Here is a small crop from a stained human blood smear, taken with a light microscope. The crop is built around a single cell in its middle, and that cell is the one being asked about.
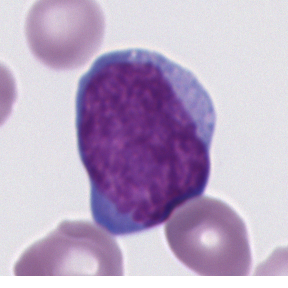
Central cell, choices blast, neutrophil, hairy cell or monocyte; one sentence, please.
The cell occupying the middle of the crop is a blast.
